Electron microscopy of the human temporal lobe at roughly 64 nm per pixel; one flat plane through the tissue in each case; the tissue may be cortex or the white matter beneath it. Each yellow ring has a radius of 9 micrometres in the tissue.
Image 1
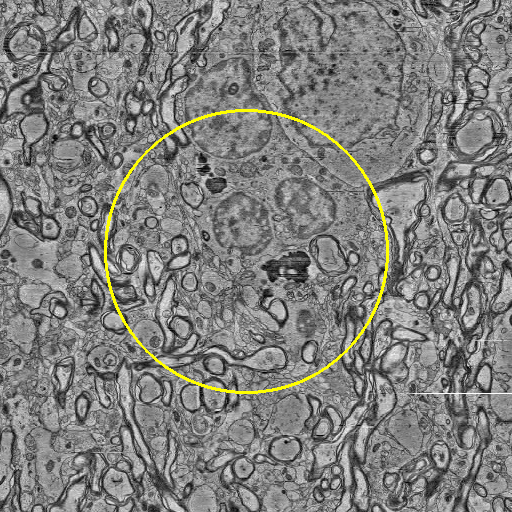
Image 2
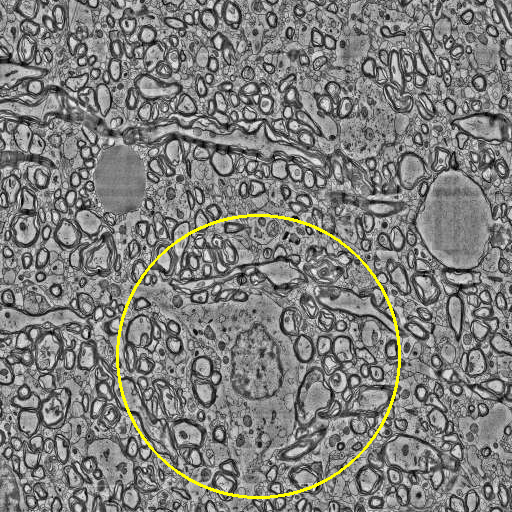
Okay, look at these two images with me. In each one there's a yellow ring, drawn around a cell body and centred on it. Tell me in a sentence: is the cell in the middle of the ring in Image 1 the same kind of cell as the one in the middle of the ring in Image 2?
No, they're two kinds of cell.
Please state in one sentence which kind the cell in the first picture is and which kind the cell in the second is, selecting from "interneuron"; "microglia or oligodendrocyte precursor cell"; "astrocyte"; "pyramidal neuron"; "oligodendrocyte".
The first ringed cell is an oligodendrocyte, the second ringed cell an astrocyte.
